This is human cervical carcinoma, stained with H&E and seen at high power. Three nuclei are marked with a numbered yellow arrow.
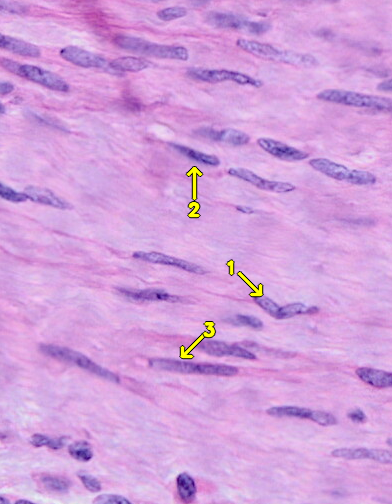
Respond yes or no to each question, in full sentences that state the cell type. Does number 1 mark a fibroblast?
No, the cell under number 1 is a smooth muscle cell, not a fibroblast.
